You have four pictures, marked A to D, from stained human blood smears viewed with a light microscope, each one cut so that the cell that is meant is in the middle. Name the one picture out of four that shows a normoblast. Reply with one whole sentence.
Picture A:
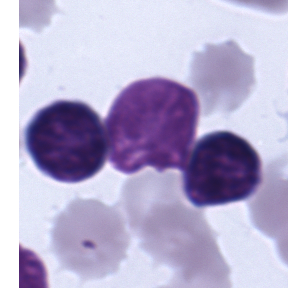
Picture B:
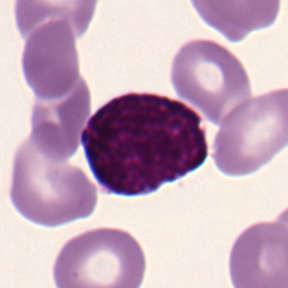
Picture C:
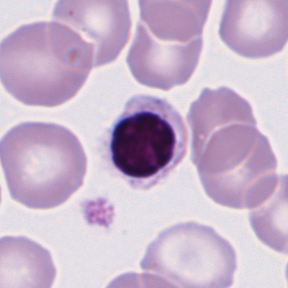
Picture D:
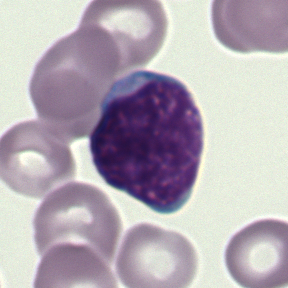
Picture C is the one that shows the normoblast.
